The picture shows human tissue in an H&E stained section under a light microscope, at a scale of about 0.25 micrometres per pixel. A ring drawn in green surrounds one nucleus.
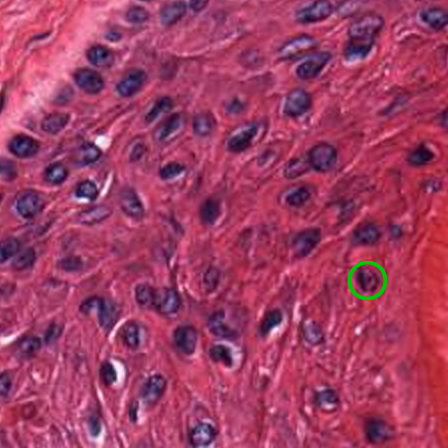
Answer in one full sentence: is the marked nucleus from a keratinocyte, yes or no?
Yes, in this image it is a keratinocyte that contains the marked nucleus.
